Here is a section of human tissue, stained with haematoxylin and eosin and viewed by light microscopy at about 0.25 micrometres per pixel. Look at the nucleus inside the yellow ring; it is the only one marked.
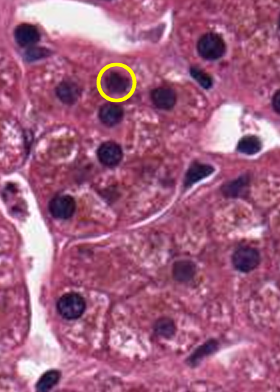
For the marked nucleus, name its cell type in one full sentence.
The marked nucleus sits within an adrenal cortical cell.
